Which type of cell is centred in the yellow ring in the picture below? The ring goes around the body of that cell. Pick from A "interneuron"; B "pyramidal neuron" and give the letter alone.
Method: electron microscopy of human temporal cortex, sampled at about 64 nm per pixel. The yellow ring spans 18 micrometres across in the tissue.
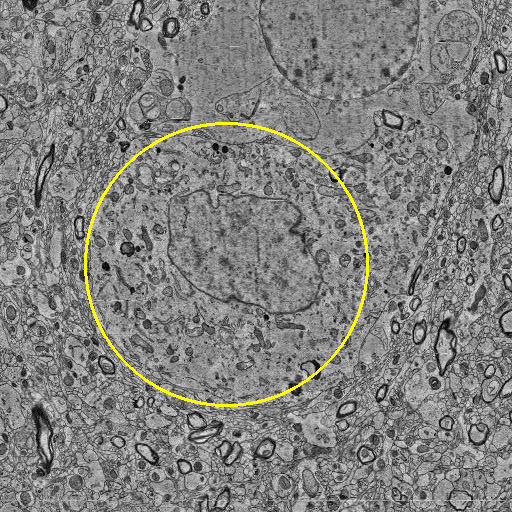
B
